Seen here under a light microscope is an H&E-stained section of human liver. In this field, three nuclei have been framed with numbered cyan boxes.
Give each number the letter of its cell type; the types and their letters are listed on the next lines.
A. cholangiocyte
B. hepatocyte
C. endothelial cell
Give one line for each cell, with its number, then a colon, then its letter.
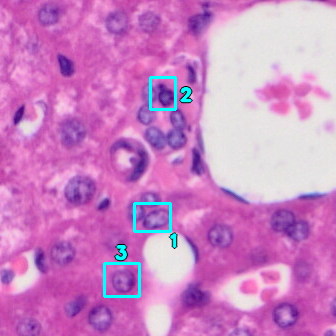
1: A
2: A
3: B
